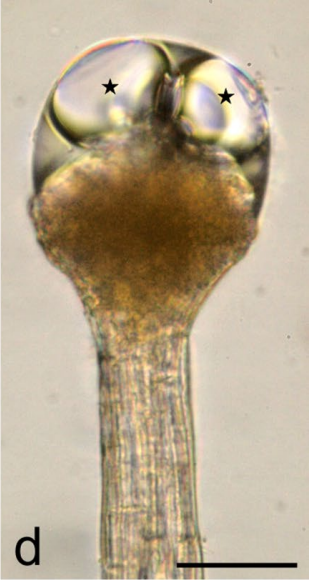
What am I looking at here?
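A glandular trichome with a long multicellular stalk of elongated cells bearing a broad head of densely packed brownish secretory cells. Above the head, two clear rounded pockets of secretion have collected in the subcuticular space, lifting a thin outer cuticle that encloses them and the head.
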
